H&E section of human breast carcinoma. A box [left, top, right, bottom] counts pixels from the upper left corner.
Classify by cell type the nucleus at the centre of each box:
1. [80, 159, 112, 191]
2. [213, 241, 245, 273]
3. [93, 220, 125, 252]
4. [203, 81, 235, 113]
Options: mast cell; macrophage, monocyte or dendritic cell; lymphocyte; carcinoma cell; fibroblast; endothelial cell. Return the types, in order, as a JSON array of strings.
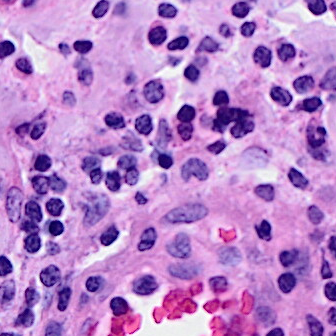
["lymphocyte", "endothelial cell", "lymphocyte", "lymphocyte"]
